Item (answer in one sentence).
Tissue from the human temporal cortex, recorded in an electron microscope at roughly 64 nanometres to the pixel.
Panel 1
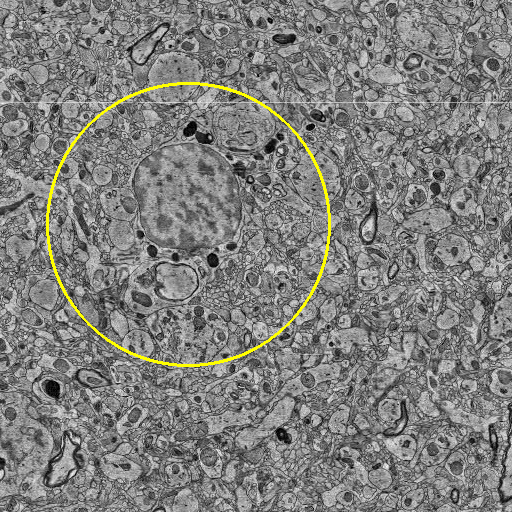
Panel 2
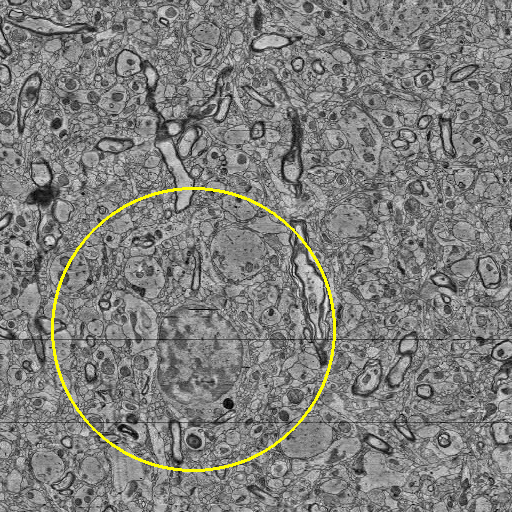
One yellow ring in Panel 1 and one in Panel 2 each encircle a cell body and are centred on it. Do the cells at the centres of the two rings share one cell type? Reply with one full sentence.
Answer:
No, Panel 1 and Panel 2 show cells of two types at the centres of their rings.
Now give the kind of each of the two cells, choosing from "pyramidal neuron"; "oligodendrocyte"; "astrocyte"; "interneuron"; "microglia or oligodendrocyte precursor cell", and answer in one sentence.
The cell in the first picture is a microglial cell or oligodendrocyte precursor cell, and the cell in the second is an oligodendrocyte.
